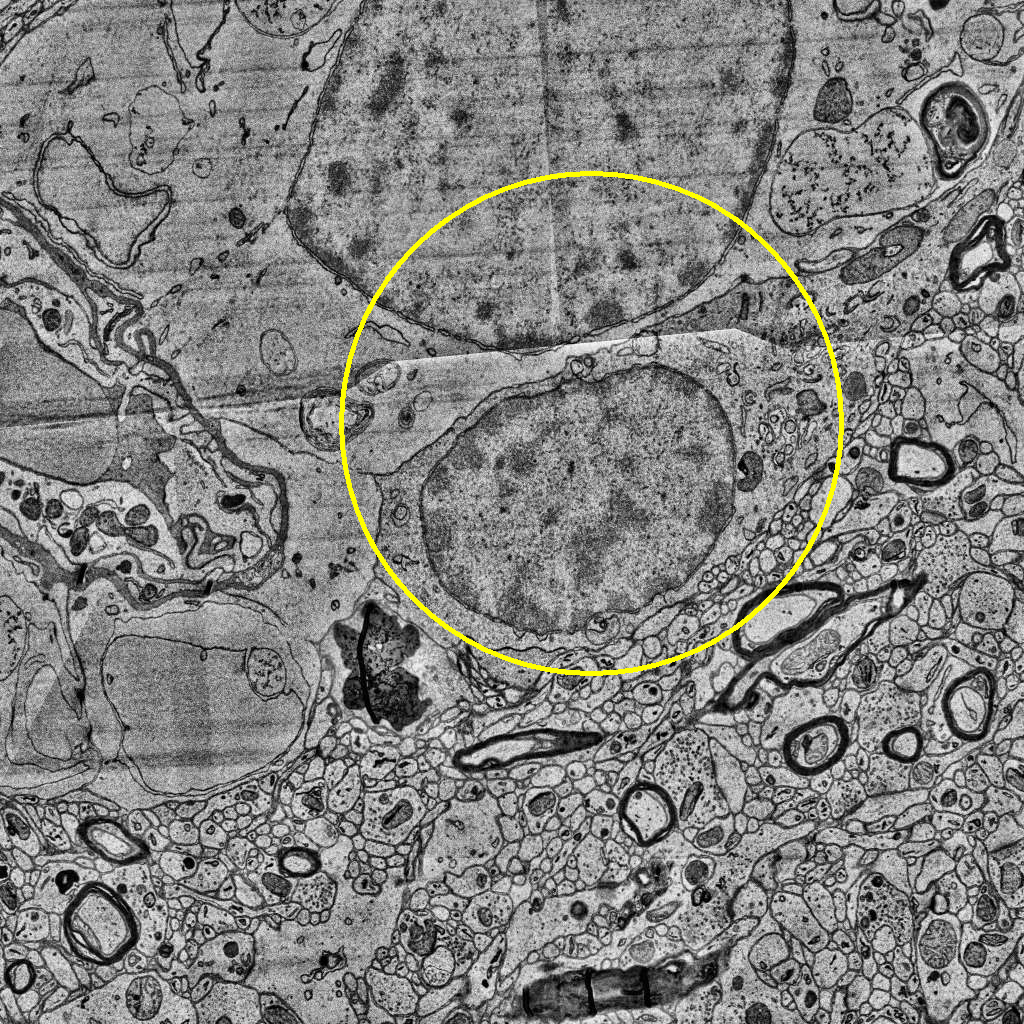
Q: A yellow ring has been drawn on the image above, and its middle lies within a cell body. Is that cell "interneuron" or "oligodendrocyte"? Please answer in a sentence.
The ring's middle lies in the cell body of an oligodendrocyte.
